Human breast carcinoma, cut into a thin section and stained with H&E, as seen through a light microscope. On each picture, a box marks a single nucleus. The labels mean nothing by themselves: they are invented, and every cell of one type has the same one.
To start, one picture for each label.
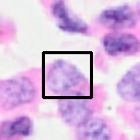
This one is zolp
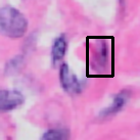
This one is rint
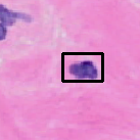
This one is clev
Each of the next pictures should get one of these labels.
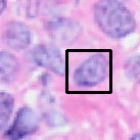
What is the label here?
zolp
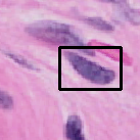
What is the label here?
rint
